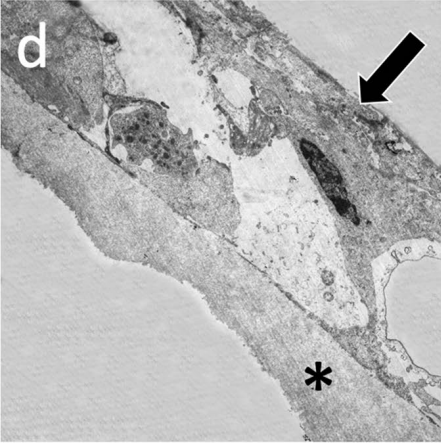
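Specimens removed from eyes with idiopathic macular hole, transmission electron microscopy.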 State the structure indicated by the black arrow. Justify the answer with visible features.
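Several layers of flattened cells and processes stacked on top of each other. The layers lie on a smooth, homogeneous acellular band. That points to this answer: Cell multilayer.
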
